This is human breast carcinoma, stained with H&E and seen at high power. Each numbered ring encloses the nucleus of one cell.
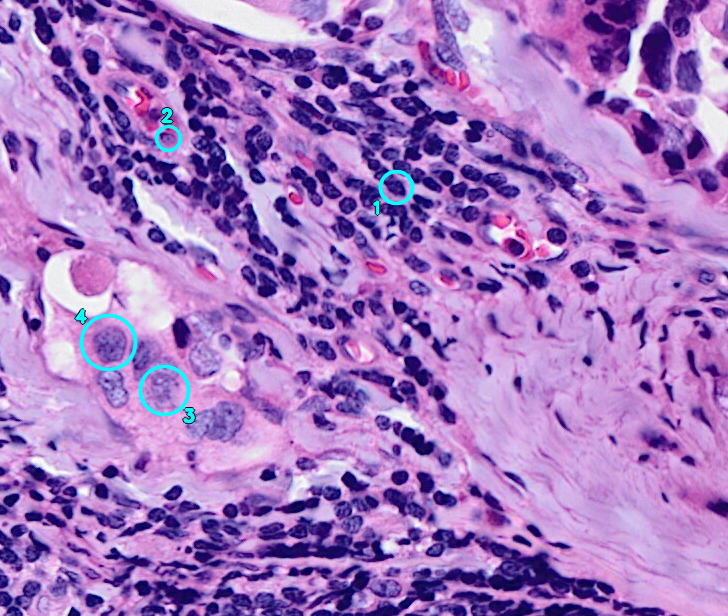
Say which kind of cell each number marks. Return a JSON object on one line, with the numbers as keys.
{"1": "lymphocyte", "2": "endothelial cell", "3": "carcinoma cell", "4": "carcinoma cell"}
